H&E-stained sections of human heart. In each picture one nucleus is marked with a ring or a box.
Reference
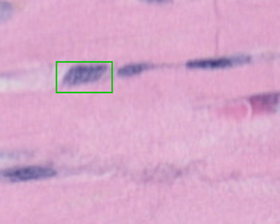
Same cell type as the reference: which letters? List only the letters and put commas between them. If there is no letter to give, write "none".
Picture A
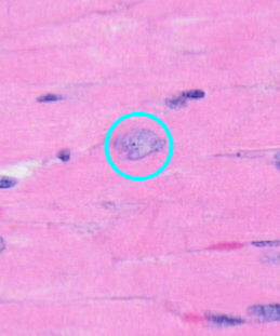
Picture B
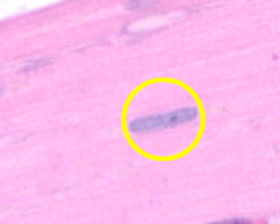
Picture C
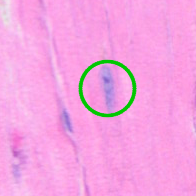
none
